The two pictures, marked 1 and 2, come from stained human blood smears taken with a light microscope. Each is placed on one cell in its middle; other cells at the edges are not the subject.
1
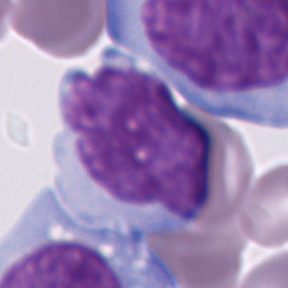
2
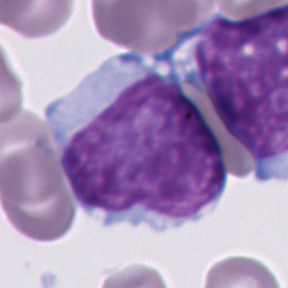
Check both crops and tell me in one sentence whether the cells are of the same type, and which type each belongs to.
Yes, the cells at the centre of the two crops are both myeloblasts.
